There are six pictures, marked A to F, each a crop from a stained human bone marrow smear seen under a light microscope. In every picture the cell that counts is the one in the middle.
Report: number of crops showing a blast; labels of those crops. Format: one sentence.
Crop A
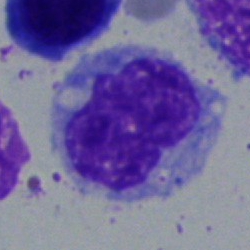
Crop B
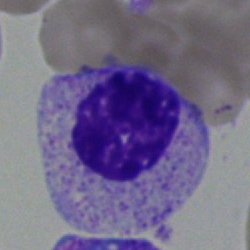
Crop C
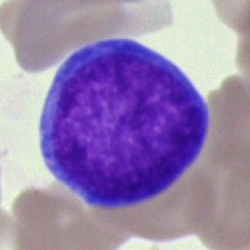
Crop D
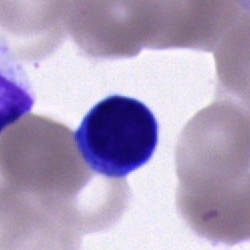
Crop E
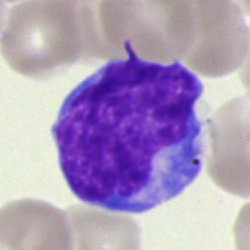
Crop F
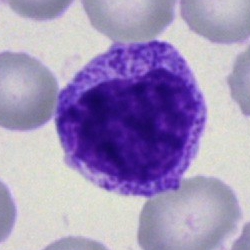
On review, two crops show blasts, and they are C and E.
